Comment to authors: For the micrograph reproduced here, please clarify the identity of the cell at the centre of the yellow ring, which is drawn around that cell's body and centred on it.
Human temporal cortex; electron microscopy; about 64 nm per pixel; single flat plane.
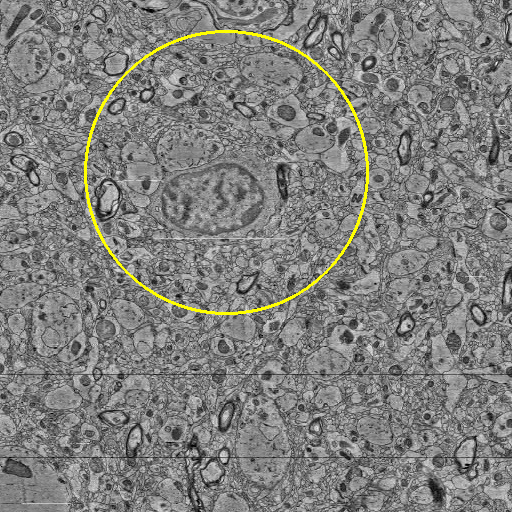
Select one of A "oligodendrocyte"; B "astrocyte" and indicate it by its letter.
A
